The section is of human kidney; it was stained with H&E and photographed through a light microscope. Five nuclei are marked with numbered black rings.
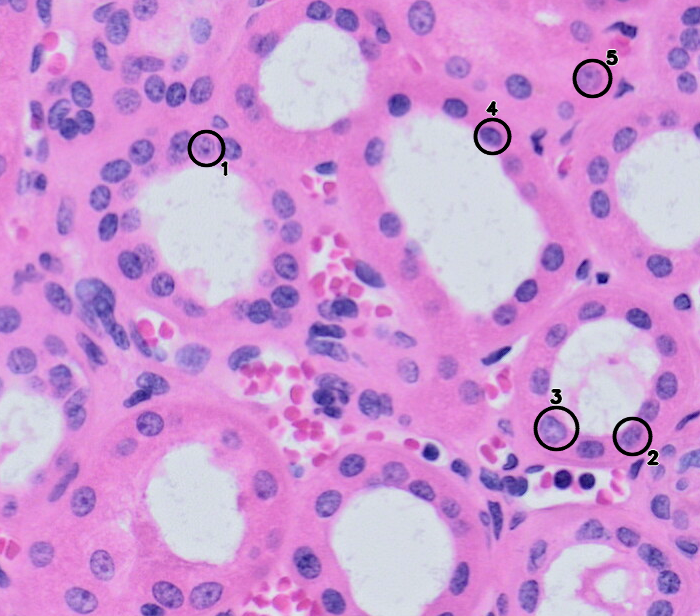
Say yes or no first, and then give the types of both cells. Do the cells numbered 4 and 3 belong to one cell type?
Yes, both are loop of Henle or distal tubule cells.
